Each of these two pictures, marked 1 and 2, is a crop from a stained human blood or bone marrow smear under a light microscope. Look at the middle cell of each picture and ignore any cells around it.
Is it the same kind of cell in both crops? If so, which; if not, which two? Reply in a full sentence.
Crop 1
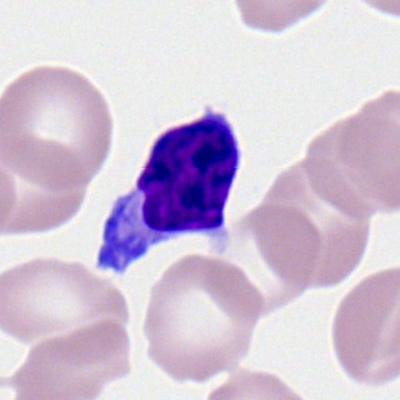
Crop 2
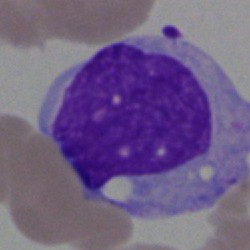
No: a lymphocyte sits in crop 1, and a monocyte sits in crop 2.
